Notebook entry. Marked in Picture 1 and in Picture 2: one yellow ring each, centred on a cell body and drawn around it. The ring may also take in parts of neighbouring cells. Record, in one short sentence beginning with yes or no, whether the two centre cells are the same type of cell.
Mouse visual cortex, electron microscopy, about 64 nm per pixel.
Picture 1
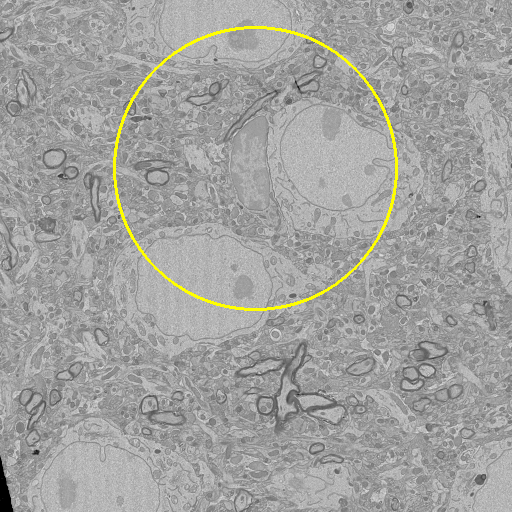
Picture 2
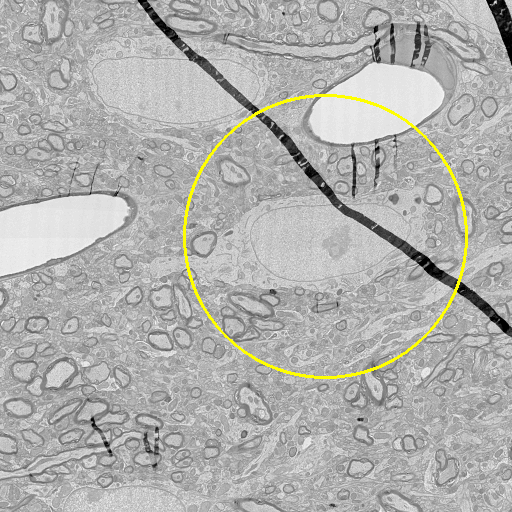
No, they are two types of cell.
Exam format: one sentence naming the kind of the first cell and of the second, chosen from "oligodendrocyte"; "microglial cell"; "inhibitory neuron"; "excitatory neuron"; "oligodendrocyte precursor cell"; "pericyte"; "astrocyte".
The first picture's cell is a microglial cell, and the second picture's cell is an excitatory neuron.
